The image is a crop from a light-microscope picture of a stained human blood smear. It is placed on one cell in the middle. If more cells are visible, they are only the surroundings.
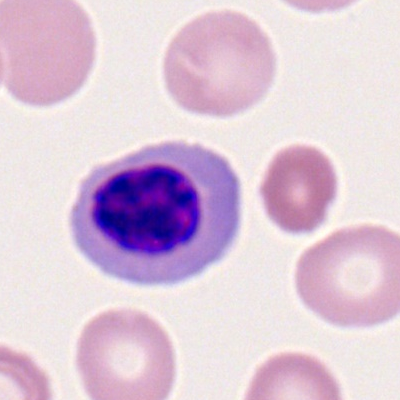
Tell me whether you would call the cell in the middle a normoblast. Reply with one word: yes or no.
yes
